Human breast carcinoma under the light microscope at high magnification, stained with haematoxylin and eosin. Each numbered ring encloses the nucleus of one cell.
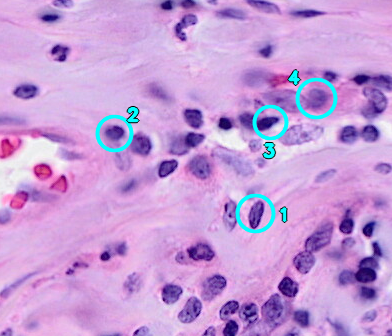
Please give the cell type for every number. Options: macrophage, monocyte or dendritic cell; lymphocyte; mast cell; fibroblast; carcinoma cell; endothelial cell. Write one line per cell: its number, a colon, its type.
1: lymphocyte
2: lymphocyte
3: lymphocyte
4: endothelial cell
